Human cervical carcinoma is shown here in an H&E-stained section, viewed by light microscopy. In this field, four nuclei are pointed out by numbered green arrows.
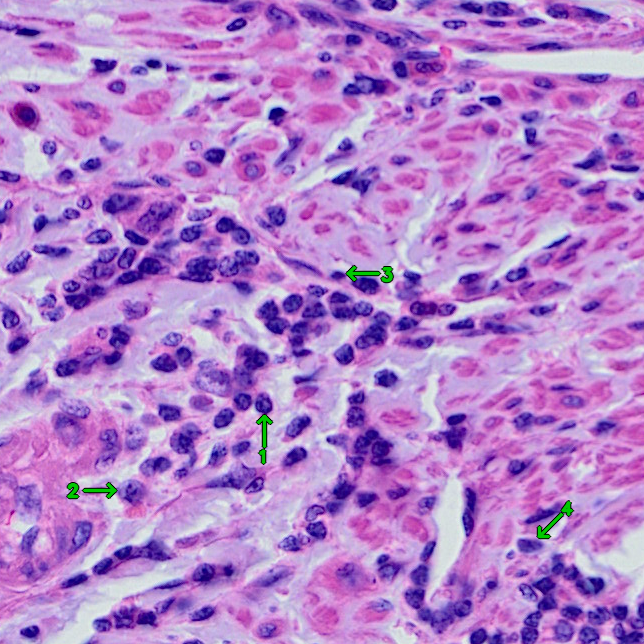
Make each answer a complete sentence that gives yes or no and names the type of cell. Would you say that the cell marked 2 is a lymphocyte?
No, calling cell 2 a lymphocyte is incorrect; it is a macrophage or monocyte.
